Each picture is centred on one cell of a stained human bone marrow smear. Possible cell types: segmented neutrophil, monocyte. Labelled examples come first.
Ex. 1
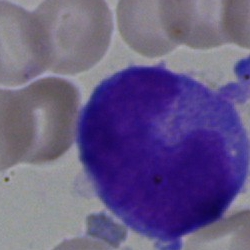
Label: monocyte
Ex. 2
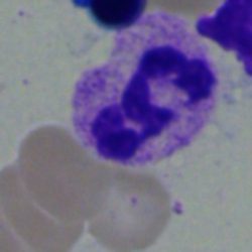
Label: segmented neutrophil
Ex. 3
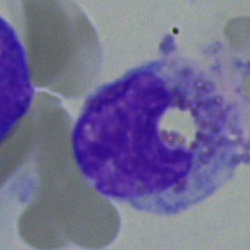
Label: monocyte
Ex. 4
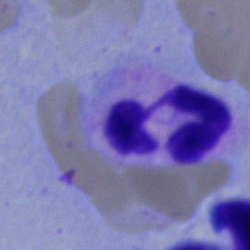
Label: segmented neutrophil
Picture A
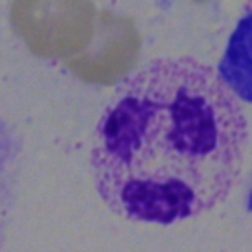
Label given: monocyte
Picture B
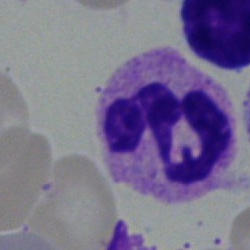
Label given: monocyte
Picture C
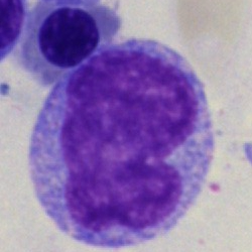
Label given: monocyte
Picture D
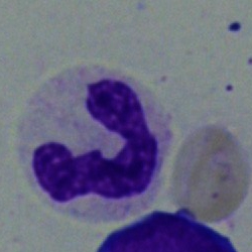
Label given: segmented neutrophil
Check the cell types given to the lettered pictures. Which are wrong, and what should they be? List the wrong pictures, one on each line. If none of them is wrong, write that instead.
Wrong: A (monocyte); correct: segmented neutrophil
Wrong: B (monocyte); correct: segmented neutrophil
